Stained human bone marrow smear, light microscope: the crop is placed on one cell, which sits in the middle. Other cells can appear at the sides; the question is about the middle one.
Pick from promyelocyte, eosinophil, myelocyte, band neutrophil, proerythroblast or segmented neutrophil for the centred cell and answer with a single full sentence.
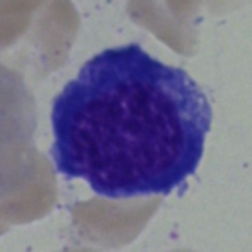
The cell of interest, in the center, is a proerythroblast.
